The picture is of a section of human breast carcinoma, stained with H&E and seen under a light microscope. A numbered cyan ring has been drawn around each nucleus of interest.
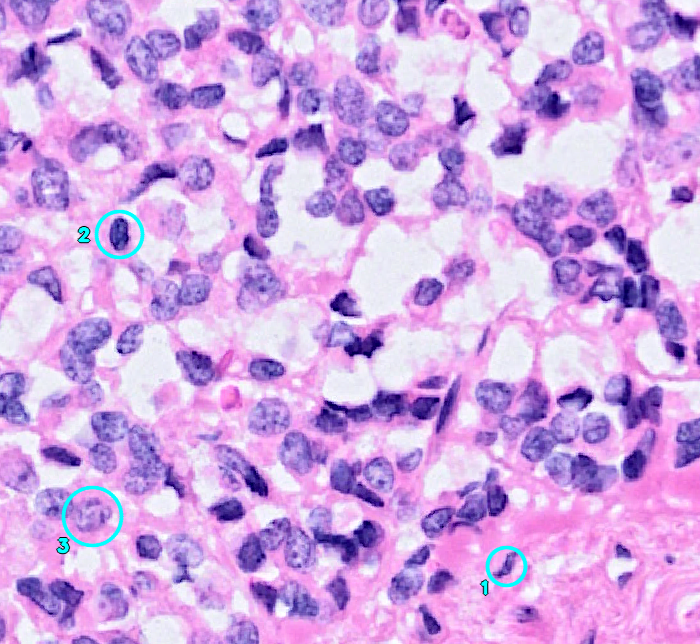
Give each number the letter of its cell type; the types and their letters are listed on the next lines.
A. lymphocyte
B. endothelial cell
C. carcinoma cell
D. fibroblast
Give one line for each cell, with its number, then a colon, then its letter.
1: D
2: A
3: C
